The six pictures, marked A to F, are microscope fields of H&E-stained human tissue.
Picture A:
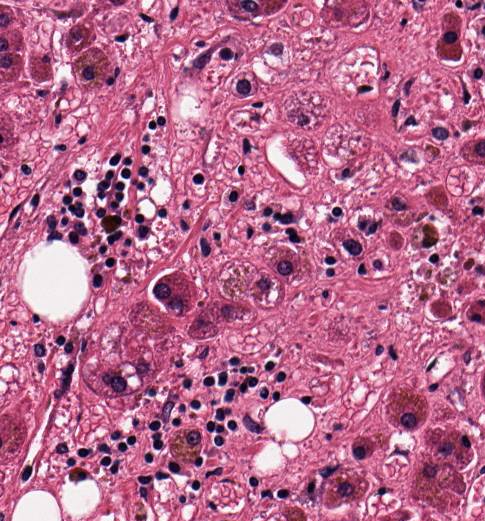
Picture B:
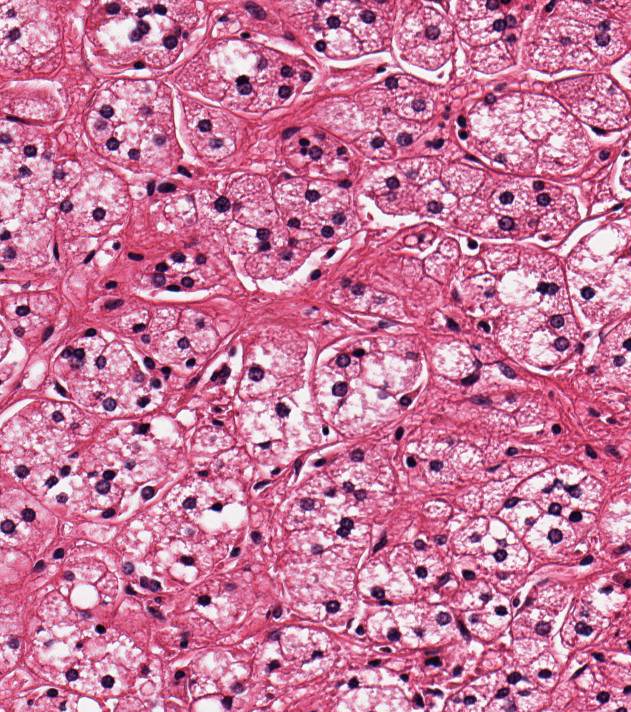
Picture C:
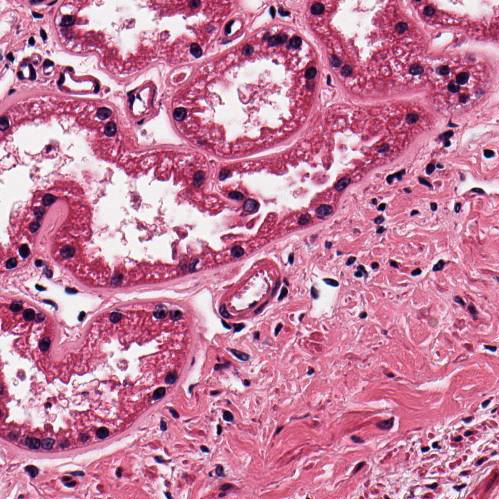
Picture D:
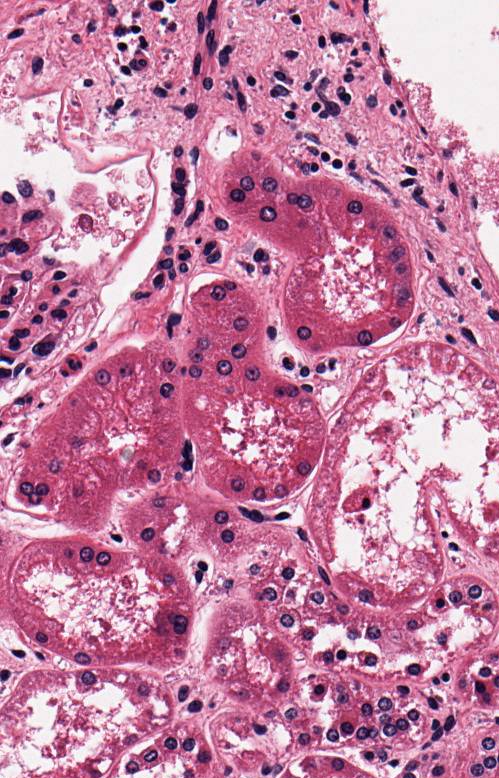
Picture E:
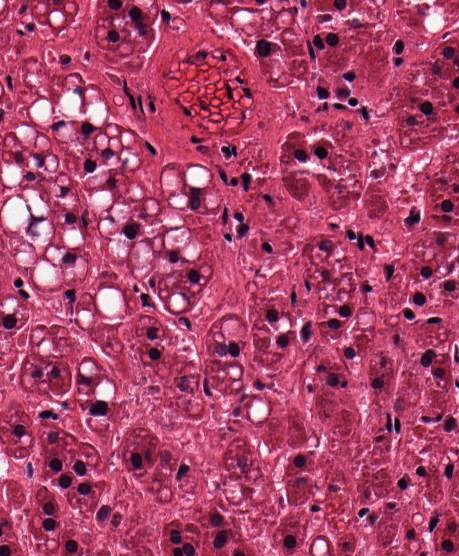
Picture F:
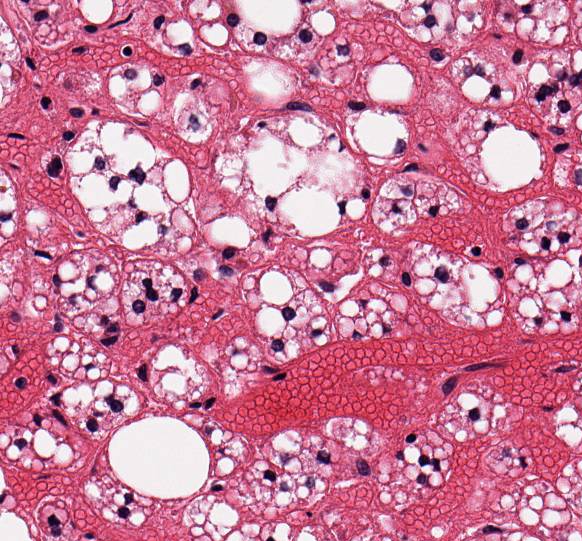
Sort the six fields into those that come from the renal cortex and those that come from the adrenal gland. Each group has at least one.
A: adrenal gland
B: adrenal gland
C: renal cortex
D: renal cortex
E: adrenal gland
F: adrenal gland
